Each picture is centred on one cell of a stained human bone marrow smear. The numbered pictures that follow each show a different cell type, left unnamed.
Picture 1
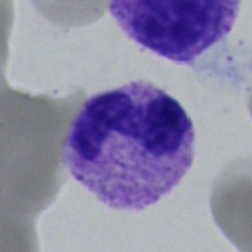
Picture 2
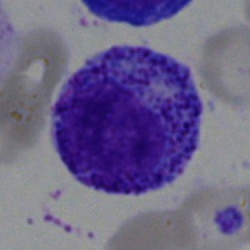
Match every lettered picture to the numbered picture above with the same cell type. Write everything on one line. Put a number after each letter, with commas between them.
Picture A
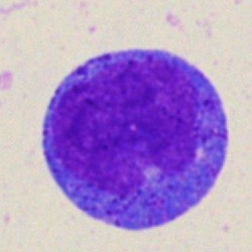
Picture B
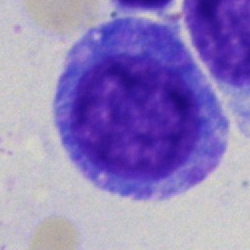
A 2, B 2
